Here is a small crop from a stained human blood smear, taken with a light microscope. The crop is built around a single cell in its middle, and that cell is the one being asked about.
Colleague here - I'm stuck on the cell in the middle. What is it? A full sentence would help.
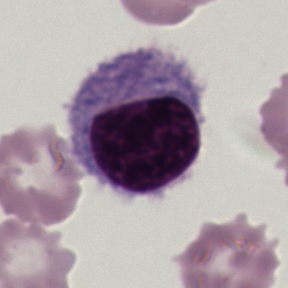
The cell in the middle of the field of view is a hairy cell.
